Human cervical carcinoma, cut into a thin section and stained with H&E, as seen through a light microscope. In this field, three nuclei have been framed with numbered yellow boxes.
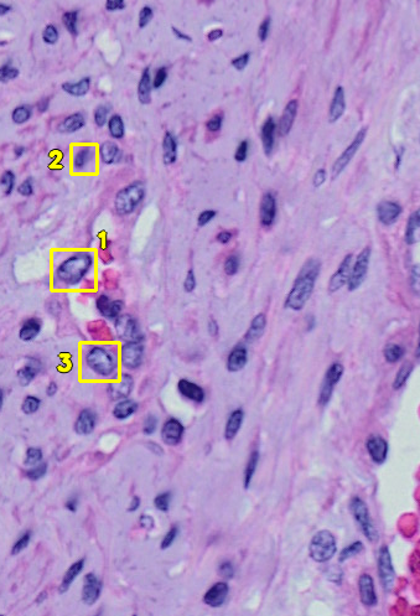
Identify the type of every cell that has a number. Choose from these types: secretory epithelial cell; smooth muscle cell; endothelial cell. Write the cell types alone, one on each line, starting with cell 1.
endothelial cell
smooth muscle cell
endothelial cell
